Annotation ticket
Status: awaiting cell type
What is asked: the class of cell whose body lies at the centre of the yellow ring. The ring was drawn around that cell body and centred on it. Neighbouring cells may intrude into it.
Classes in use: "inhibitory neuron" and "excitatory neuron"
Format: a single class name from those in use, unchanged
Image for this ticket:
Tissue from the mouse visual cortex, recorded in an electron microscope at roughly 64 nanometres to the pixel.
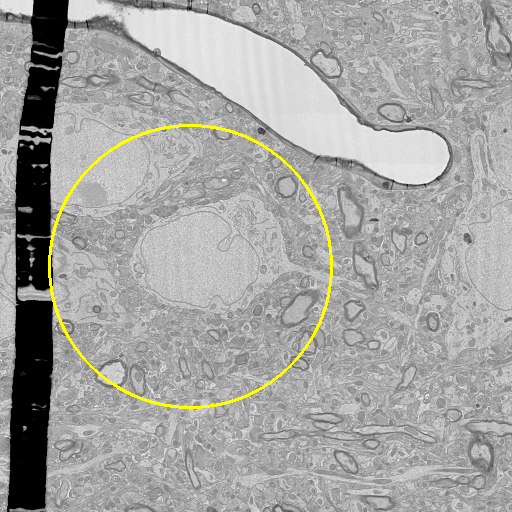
excitatory neuron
